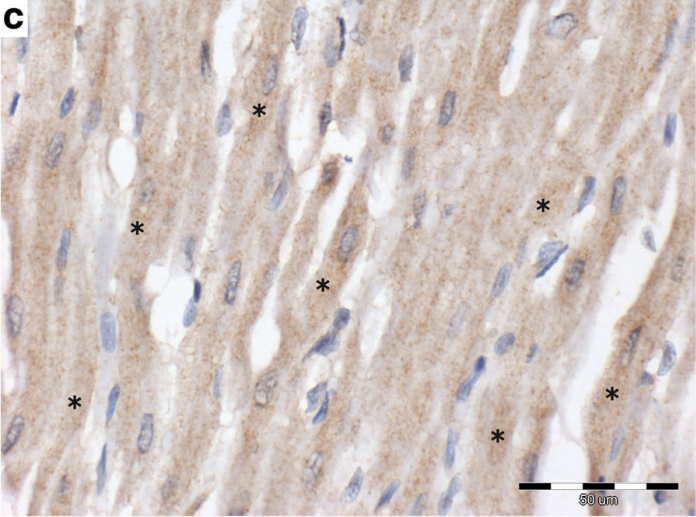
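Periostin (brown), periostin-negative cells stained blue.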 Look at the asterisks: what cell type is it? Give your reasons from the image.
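Asterisks lie on long, closely packed muscle fibres. Oval nuclei sit centrally within the fibres. The fibre cytoplasm is finely granular brown. On this evidence: cardiomyocyte.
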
